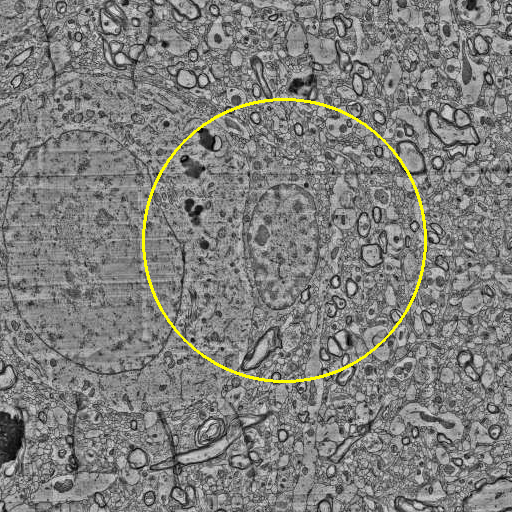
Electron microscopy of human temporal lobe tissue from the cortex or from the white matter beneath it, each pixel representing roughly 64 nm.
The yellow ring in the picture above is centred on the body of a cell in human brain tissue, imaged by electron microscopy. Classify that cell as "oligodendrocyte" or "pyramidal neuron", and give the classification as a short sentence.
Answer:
The cell in the middle of the ring is an oligodendrocyte.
